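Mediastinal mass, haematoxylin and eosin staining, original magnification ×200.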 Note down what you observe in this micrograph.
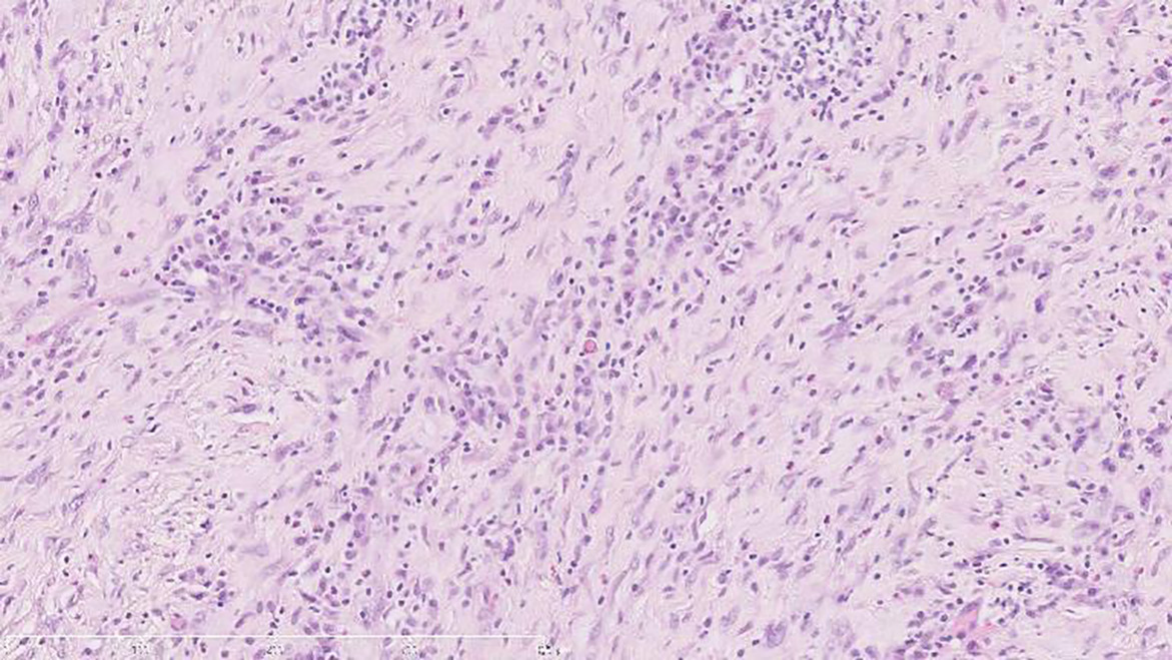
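This is a fibrotic lesion densely infiltrated by lymphocytes and plasma cells. The background is pale pink, finely fibrillary collagenous stroma in which elongated spindle-shaped cells with slender oval nuclei run in wavy, streaming bundles. Between and among these bundles lie numerous small round cells with dark purple nuclei, gathered into loose sheets and clusters that are densest across the centre and upper part of the field. Many of the round cells have eccentrically placed nuclei and a rim of pink-purple cytoplasm, in keeping with plasma cells, mixed with smaller lymphocytes. Occasional cells with bright red cytoplasm are scattered among them.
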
